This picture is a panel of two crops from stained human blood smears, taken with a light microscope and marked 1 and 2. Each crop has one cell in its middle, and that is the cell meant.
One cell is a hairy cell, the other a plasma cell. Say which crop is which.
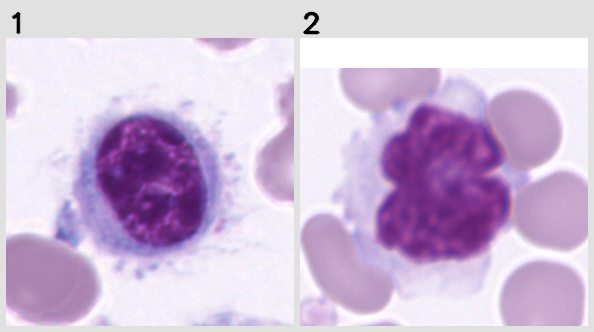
1: plasma cell
2: hairy cell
